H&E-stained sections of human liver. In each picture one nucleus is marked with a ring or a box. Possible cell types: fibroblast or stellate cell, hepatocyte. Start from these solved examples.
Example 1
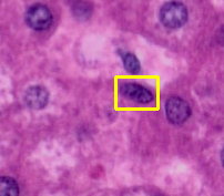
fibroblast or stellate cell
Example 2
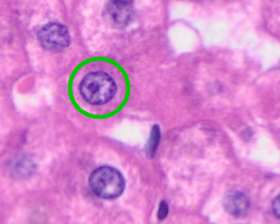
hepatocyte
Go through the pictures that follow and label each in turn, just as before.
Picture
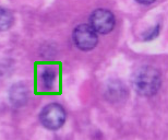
fibroblast or stellate cell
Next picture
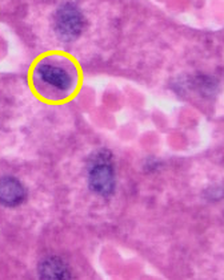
fibroblast or stellate cell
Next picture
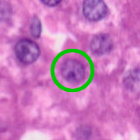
hepatocyte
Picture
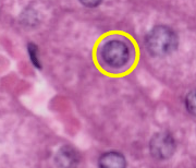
hepatocyte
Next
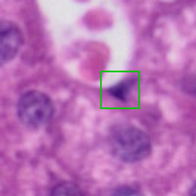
fibroblast or stellate cell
